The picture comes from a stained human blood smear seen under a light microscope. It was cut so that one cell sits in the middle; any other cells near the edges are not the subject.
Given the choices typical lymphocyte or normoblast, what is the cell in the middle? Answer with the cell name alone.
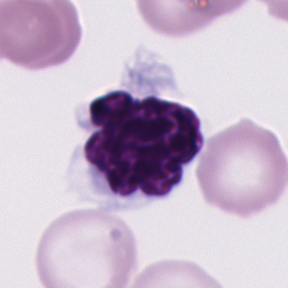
normoblast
